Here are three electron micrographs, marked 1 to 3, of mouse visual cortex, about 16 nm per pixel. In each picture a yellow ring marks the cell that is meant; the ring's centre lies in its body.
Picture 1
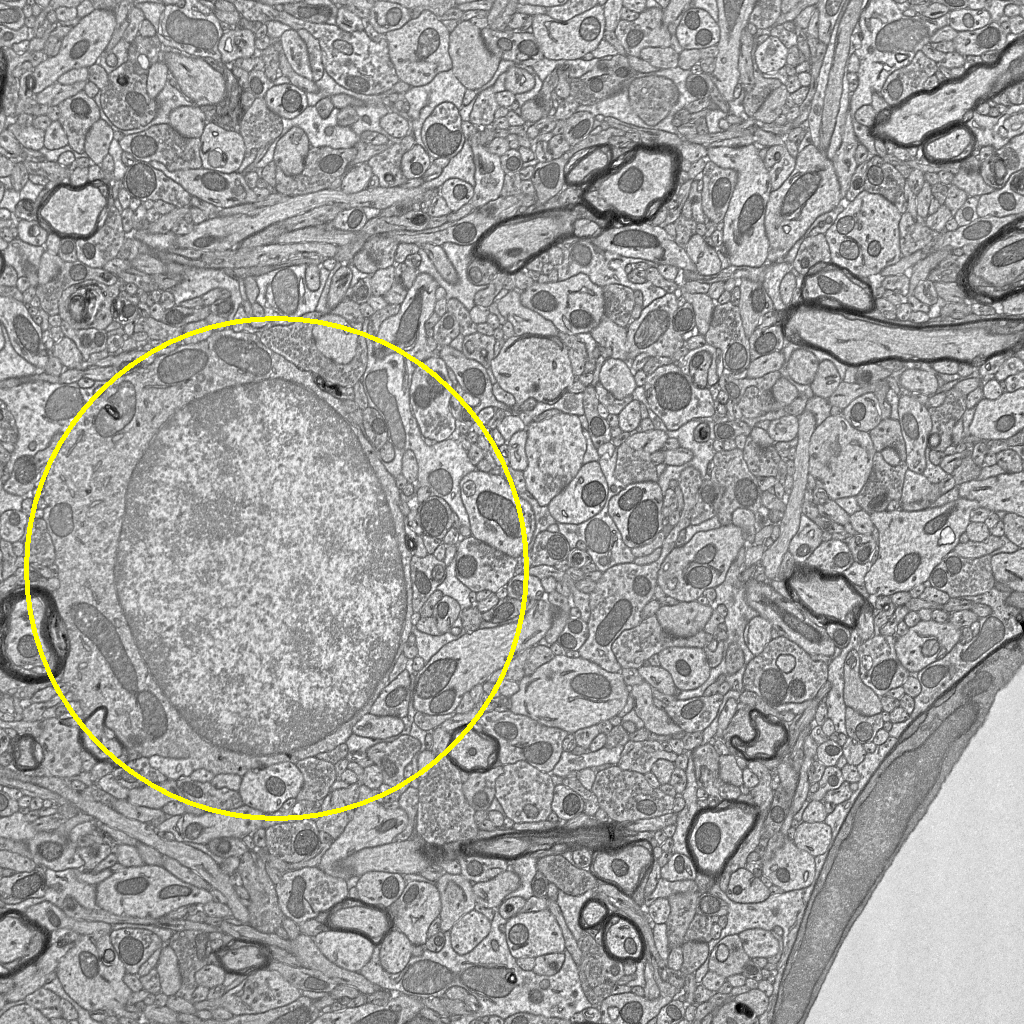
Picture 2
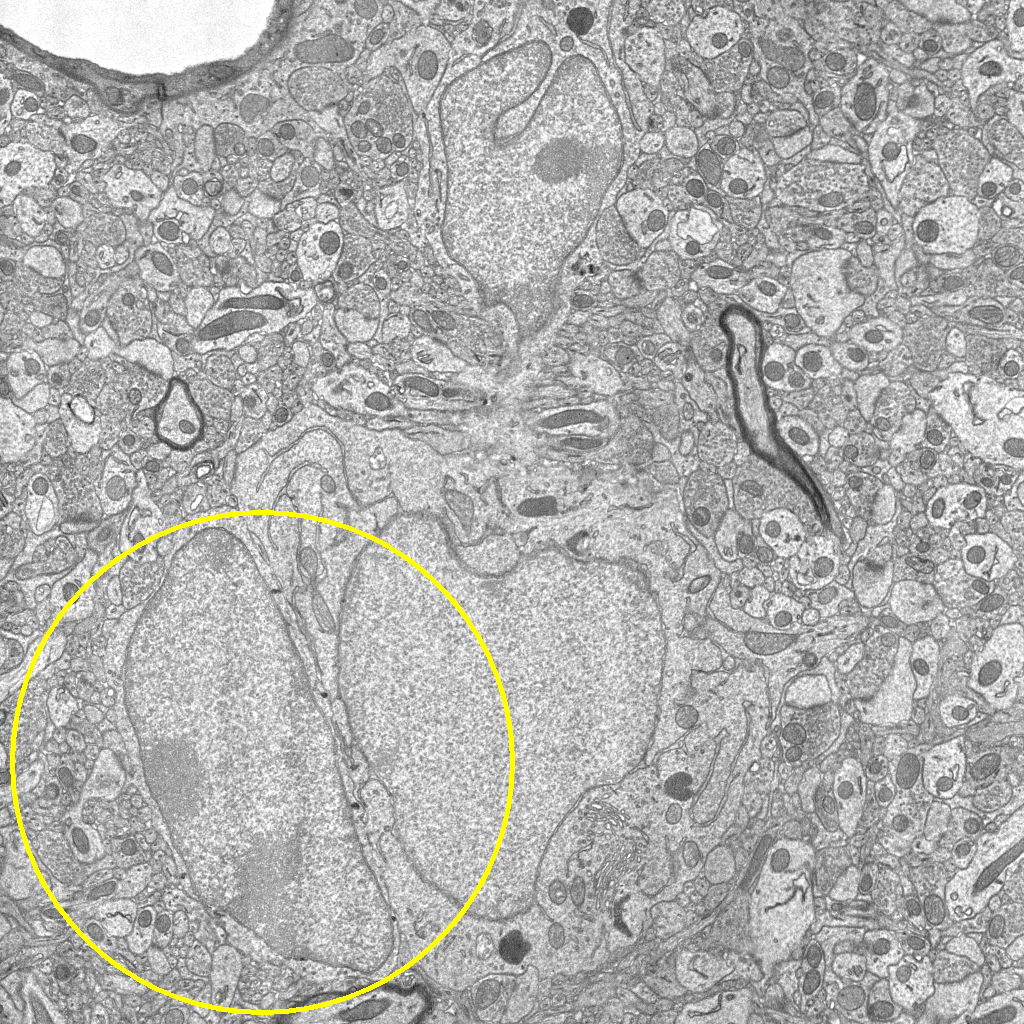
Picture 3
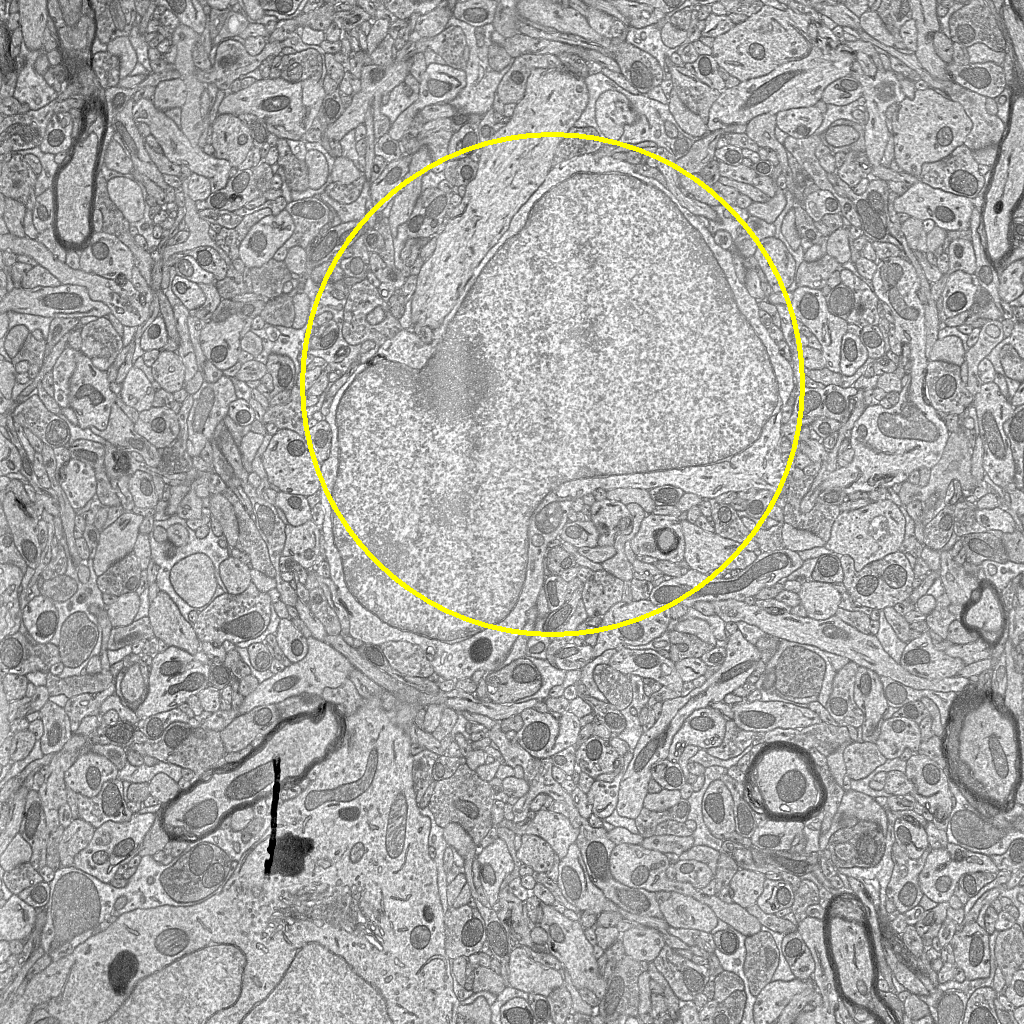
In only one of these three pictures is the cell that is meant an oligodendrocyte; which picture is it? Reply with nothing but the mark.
1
